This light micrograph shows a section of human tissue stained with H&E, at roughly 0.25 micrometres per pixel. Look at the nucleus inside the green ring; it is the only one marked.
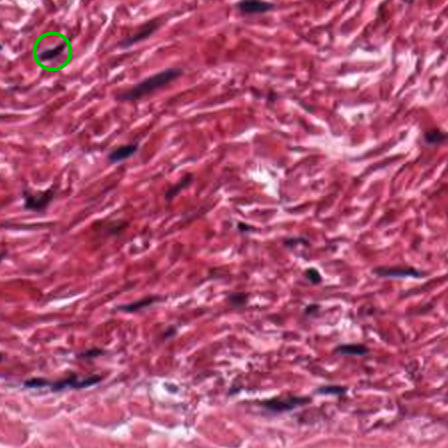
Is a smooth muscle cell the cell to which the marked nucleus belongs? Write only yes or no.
yes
